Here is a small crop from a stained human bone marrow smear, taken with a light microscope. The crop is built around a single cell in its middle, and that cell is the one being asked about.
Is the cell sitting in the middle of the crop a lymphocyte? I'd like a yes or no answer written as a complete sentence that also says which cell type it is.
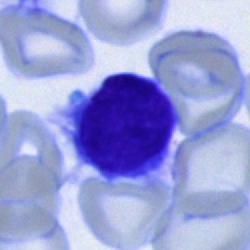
Yes, the centre of the crop holds a lymphocyte.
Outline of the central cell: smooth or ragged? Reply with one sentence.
Irregularity marks the cell border, whether as raggedness or as projections.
